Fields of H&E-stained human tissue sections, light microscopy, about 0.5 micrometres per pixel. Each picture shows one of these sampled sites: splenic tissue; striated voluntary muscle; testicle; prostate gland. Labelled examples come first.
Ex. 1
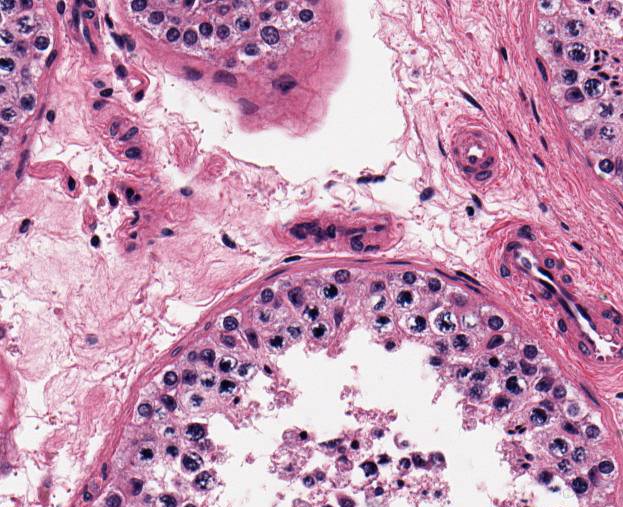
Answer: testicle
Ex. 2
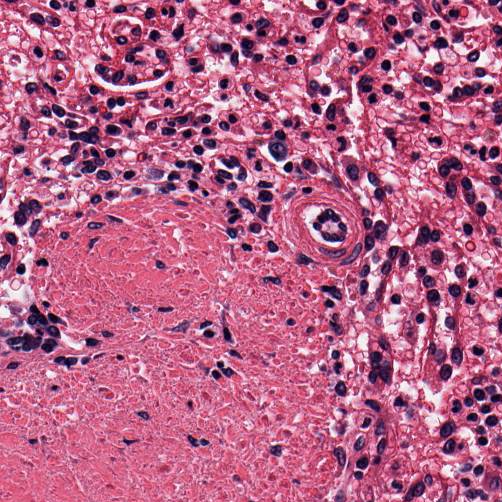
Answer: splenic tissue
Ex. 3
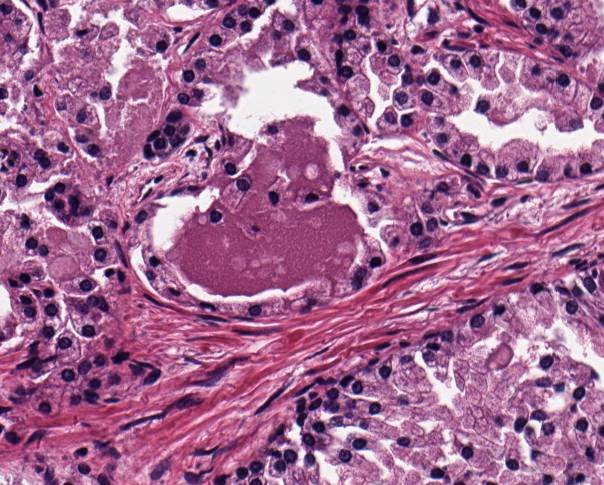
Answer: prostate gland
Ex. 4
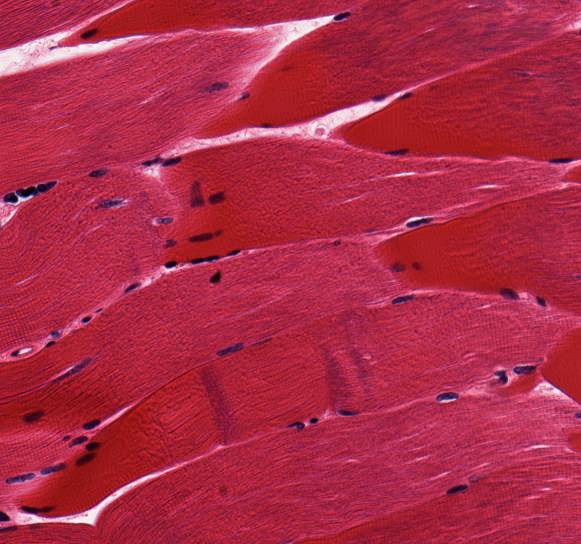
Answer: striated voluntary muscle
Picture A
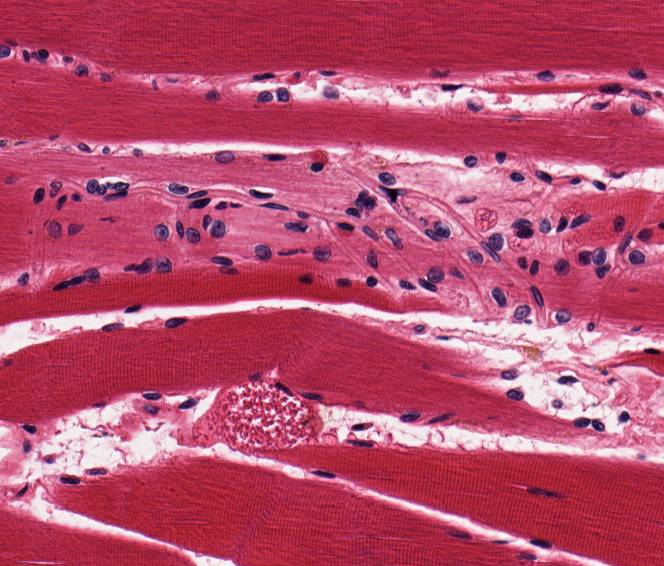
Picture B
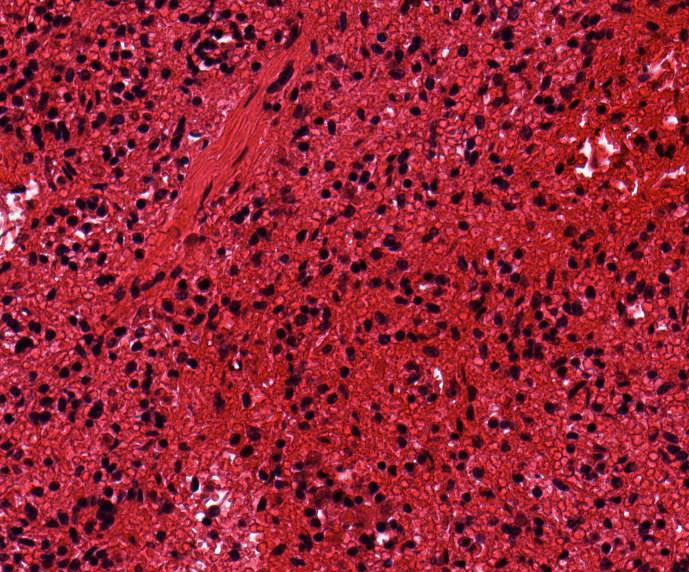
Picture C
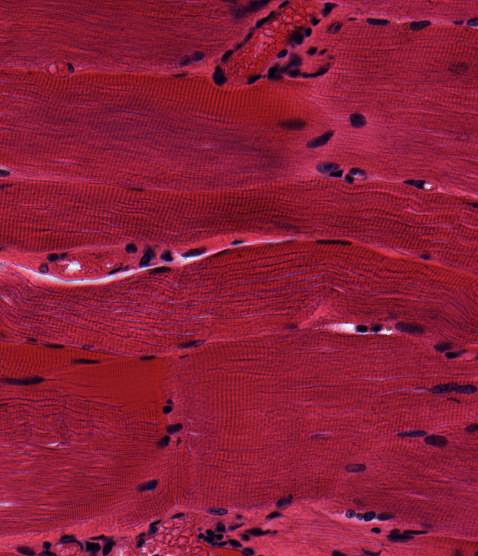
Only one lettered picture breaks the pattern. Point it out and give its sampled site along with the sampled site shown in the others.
B differs and shows splenic tissue; the others show striated voluntary muscle.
